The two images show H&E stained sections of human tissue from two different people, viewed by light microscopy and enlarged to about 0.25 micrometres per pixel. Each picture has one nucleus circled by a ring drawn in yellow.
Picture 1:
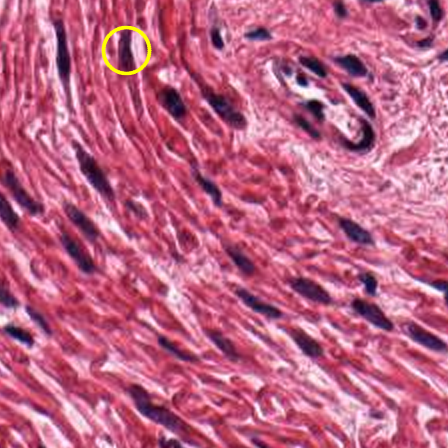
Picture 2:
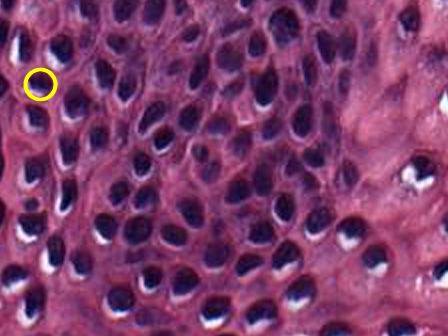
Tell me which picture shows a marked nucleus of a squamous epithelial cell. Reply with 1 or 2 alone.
2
